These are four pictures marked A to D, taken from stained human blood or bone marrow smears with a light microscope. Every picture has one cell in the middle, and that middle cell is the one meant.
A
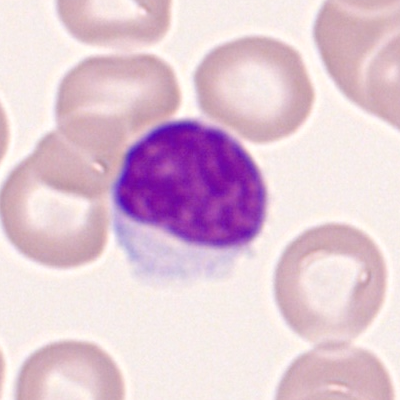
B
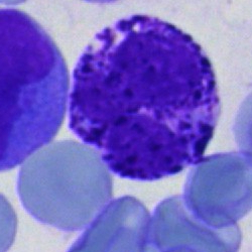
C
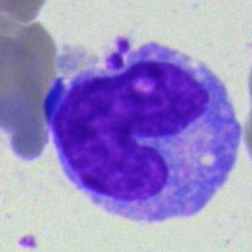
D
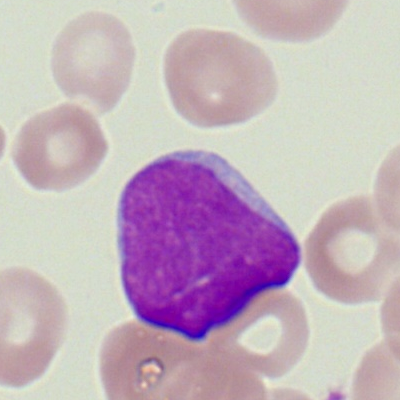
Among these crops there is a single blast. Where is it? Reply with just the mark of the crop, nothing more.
D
